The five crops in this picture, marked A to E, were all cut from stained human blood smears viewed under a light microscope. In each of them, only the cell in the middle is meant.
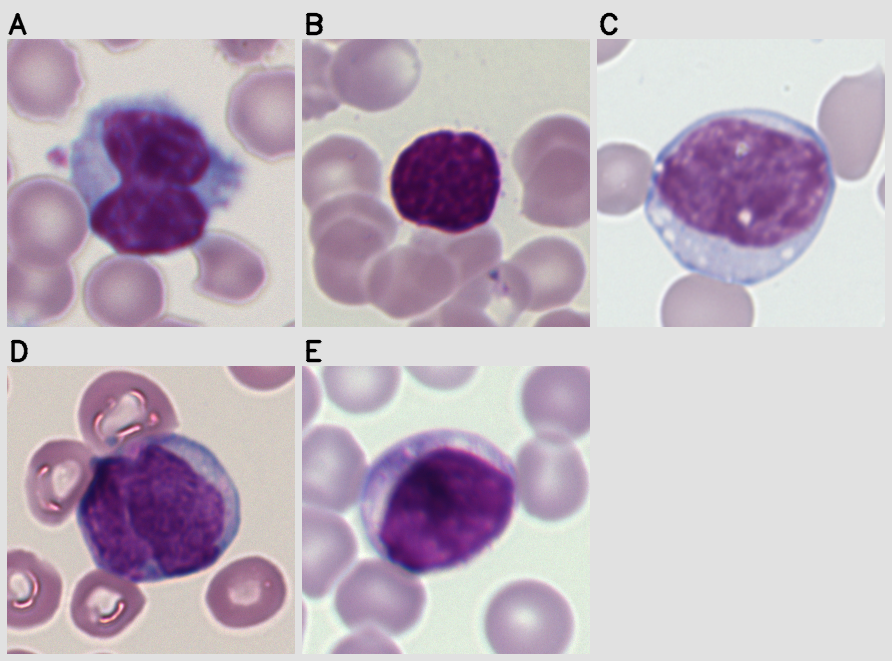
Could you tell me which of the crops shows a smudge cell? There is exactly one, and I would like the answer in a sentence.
The crop marked B is the one in which a smudge cell is shown.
